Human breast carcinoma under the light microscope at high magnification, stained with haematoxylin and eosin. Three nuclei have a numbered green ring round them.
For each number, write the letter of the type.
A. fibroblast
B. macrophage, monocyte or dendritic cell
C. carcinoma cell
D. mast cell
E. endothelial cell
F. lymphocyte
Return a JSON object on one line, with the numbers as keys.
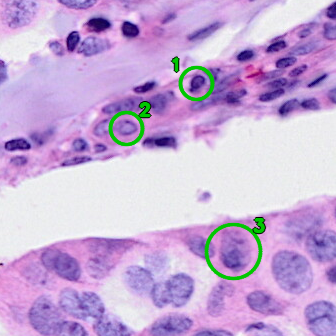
{"1": "F", "2": "E", "3": "C"}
